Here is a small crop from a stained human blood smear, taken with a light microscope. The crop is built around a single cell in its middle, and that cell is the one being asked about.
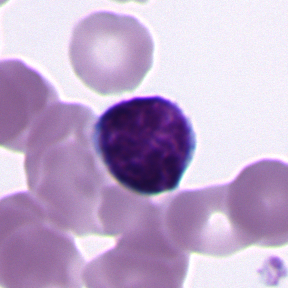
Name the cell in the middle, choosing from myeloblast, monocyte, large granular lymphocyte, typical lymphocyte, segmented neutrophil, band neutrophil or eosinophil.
typical lymphocyte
